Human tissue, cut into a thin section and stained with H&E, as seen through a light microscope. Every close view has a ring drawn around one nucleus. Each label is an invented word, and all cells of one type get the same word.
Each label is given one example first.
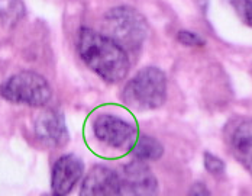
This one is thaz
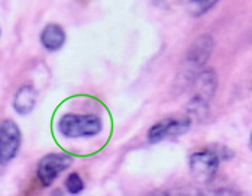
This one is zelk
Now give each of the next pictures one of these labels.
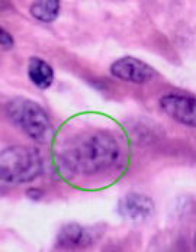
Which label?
thaz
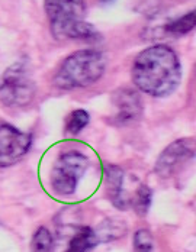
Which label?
thaz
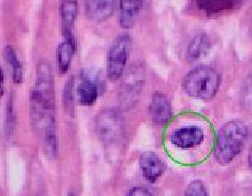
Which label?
zelk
